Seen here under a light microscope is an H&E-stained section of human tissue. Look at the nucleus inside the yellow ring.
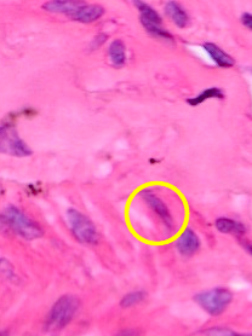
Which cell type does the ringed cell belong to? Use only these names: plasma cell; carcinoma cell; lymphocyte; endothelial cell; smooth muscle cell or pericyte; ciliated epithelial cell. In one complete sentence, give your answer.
As classified here, the ringed cell is a smooth muscle cell or pericyte.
